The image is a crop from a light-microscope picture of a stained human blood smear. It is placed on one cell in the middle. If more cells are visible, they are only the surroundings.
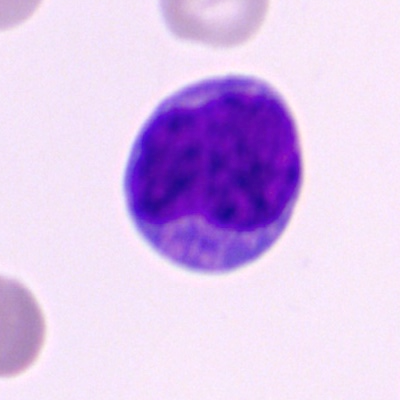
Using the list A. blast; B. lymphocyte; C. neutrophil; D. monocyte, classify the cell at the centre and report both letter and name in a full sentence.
The cell placed in the middle is a blast; option A is correct.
